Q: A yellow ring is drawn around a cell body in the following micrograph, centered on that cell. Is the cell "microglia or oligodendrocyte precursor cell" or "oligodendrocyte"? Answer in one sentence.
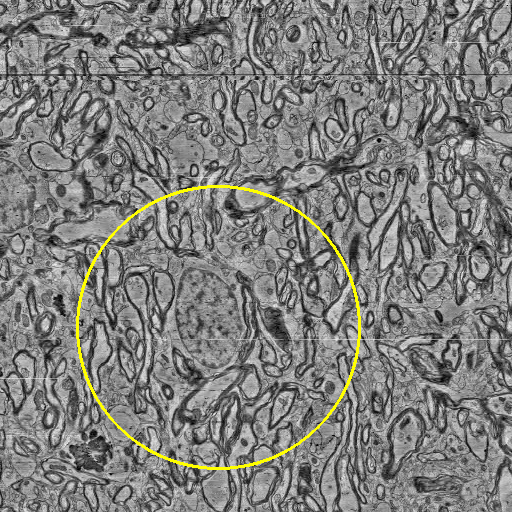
The cell in the center of the ring is a microglial cell or oligodendrocyte precursor cell.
